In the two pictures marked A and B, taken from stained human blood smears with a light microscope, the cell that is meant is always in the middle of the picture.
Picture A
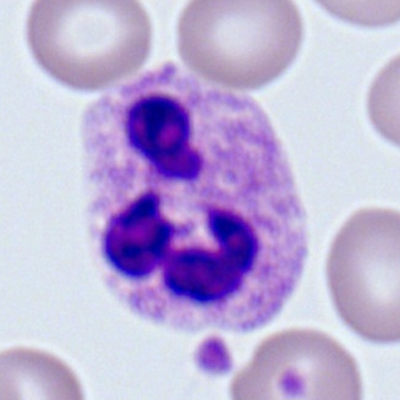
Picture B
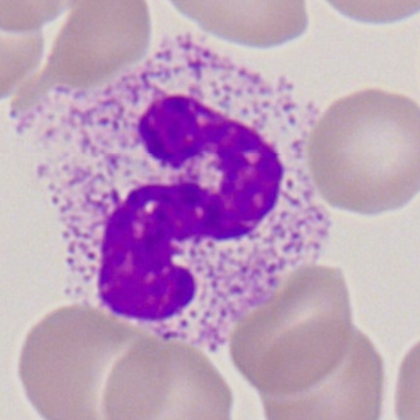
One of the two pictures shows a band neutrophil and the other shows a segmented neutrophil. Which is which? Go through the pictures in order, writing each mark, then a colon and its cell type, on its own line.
A: segmented neutrophil
B: band neutrophil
